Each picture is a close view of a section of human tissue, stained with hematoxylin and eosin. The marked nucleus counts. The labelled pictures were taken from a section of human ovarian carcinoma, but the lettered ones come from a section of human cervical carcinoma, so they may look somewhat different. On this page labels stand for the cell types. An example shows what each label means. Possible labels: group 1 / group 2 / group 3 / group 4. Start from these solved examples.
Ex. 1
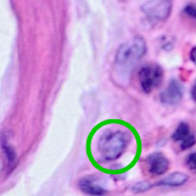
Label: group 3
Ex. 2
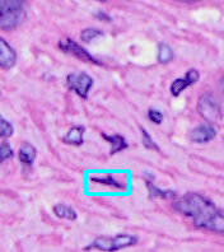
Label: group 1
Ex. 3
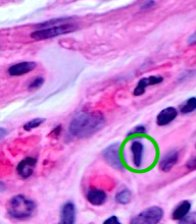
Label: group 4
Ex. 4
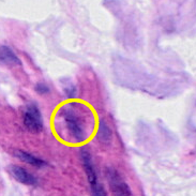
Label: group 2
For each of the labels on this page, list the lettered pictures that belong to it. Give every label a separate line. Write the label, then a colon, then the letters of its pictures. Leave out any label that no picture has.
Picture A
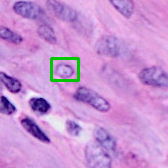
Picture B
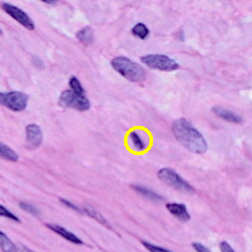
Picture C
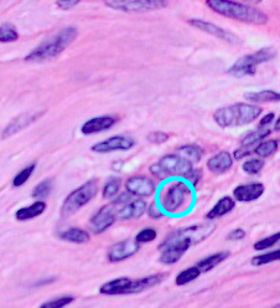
group 1: B
group 2: A
group 3: C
